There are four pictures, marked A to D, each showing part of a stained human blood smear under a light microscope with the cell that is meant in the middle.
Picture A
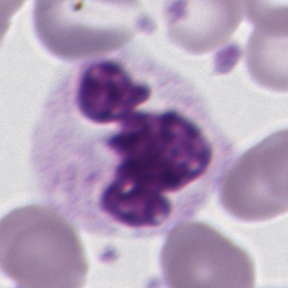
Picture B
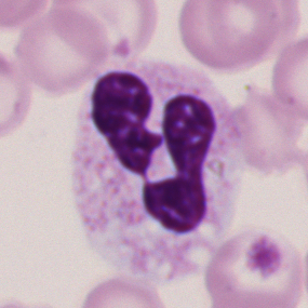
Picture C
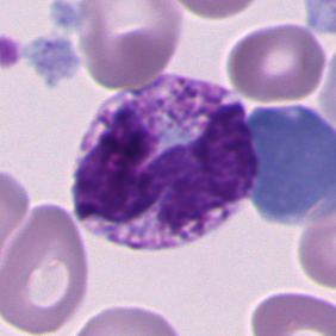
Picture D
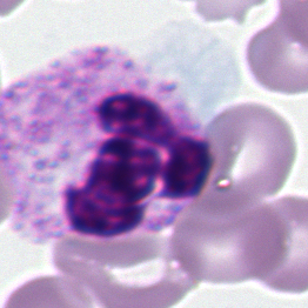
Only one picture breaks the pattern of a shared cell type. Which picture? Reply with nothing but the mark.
C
